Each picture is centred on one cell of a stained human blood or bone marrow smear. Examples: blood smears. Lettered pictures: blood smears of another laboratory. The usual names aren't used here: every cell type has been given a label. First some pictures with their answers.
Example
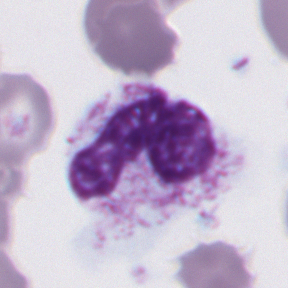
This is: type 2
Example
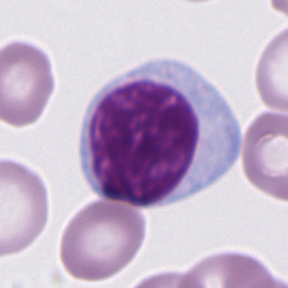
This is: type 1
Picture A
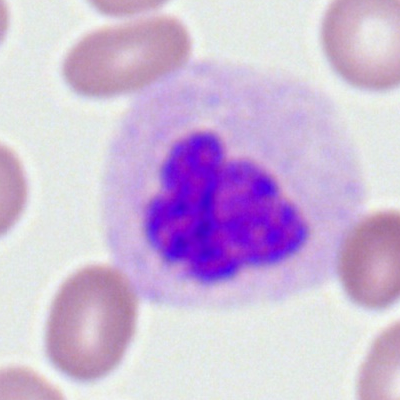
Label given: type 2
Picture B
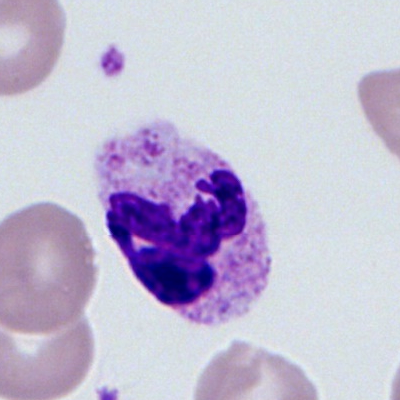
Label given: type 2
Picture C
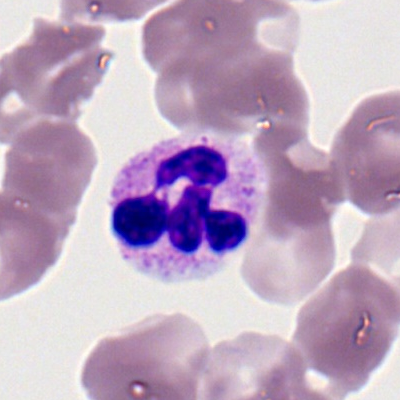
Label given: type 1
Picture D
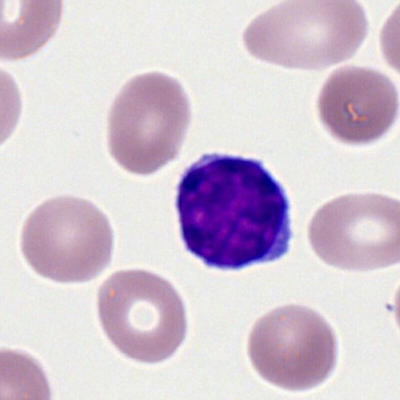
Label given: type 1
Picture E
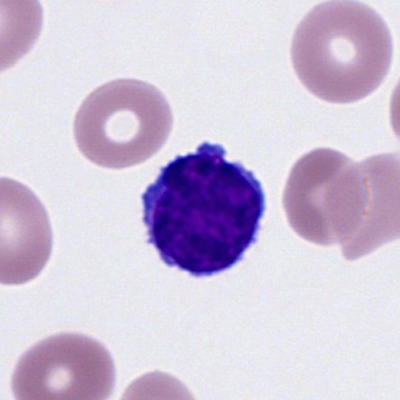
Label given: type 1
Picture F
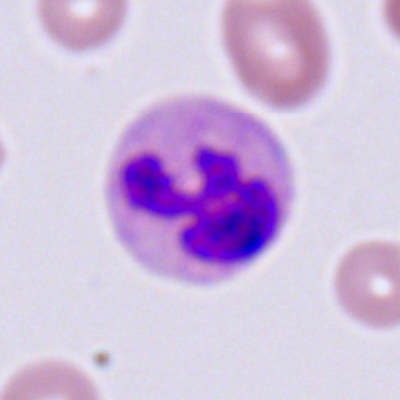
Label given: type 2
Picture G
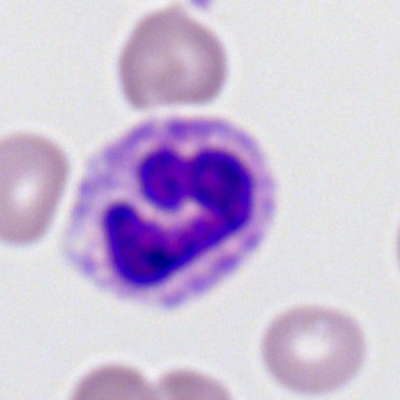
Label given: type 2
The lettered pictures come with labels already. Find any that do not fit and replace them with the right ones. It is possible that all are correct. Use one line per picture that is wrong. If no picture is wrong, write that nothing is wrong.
C: change type 1 to type 2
